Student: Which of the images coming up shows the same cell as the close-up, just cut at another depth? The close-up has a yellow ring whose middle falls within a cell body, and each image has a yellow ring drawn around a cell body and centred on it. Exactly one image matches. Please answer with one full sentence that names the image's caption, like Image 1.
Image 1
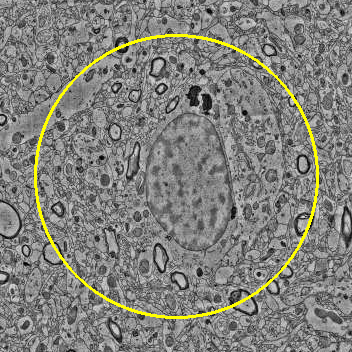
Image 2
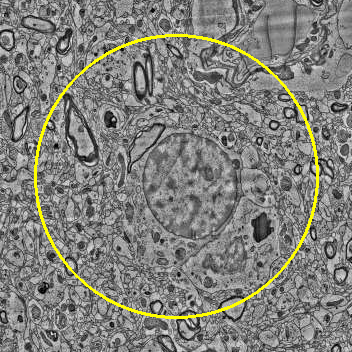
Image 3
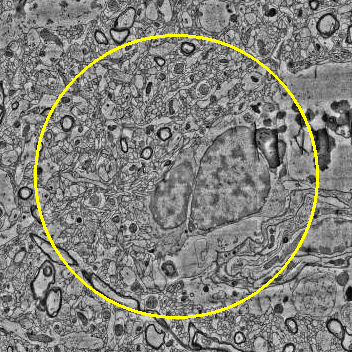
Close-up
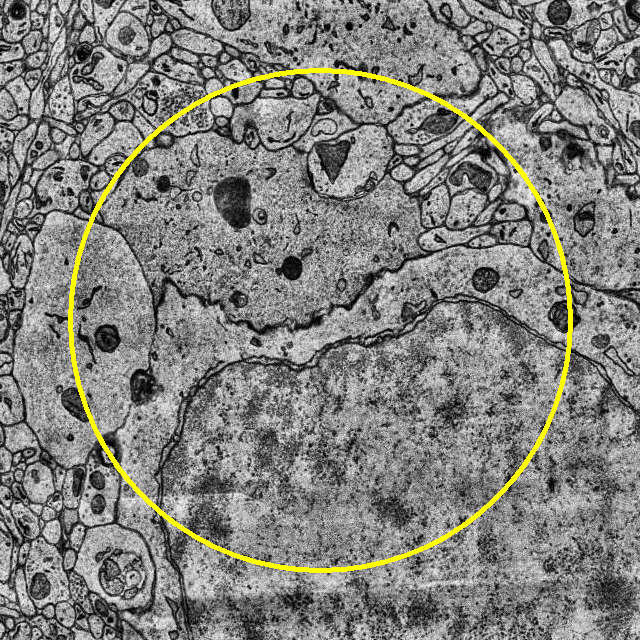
The close-up shows in detail the cell ringed in Image 2.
